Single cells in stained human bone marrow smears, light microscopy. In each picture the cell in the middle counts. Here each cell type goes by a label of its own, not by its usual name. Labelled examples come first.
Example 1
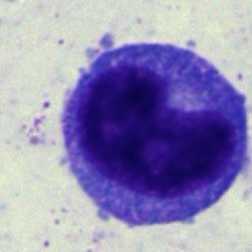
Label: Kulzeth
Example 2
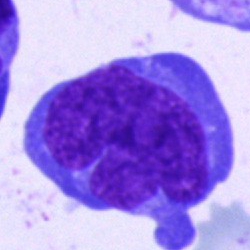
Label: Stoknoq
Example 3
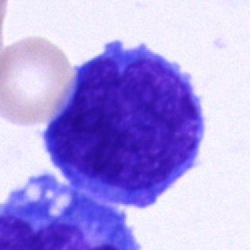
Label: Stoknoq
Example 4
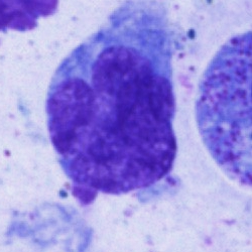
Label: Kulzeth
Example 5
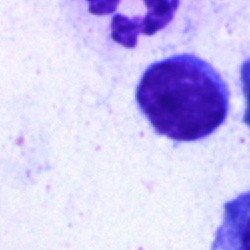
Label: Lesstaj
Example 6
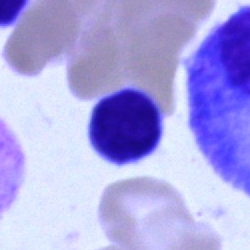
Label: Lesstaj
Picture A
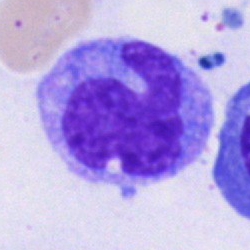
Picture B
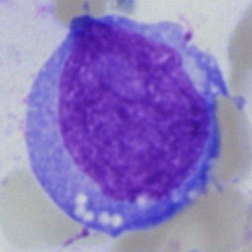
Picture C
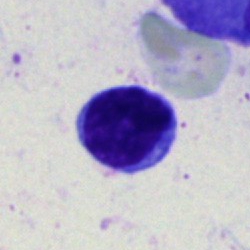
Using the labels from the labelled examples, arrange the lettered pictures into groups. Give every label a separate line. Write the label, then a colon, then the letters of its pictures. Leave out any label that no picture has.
Kulzeth: A
Stoknoq: B
Lesstaj: C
